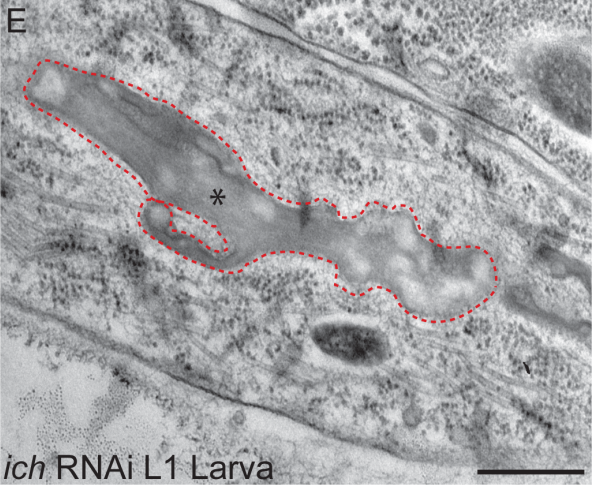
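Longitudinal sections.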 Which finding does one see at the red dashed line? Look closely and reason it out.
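Highly irregular morphology. The outlined space has an uneven, lobed contour. Its width varies greatly along its length.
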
